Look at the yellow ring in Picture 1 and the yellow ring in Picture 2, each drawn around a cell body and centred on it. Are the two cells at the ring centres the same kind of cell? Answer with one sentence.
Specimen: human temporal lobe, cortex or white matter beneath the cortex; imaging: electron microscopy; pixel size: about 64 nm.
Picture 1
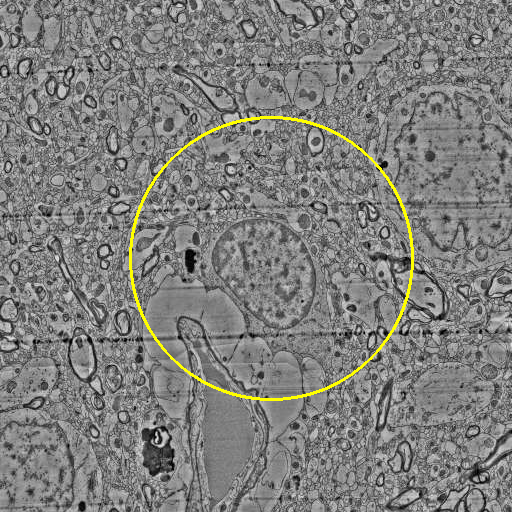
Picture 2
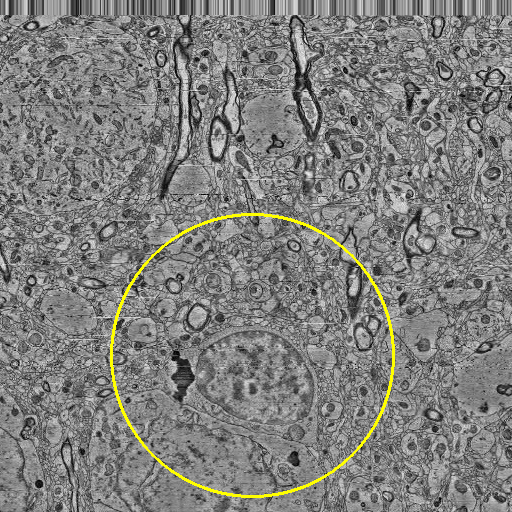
Yes, both are the same kind of cell.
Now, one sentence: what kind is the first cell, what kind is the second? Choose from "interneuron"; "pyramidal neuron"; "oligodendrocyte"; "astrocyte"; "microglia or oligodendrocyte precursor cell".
Both rings mark an oligodendrocyte, one in each picture.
